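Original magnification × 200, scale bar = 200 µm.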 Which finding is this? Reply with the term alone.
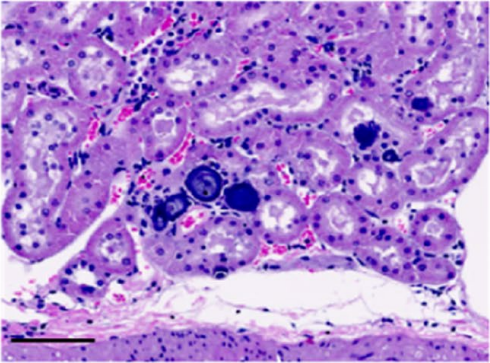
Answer: Mineralization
